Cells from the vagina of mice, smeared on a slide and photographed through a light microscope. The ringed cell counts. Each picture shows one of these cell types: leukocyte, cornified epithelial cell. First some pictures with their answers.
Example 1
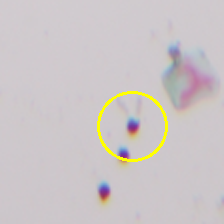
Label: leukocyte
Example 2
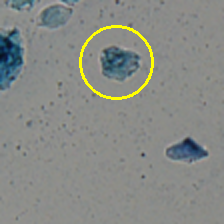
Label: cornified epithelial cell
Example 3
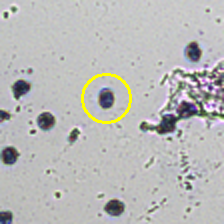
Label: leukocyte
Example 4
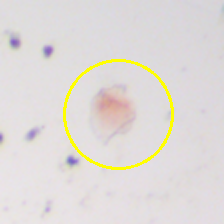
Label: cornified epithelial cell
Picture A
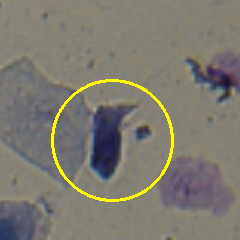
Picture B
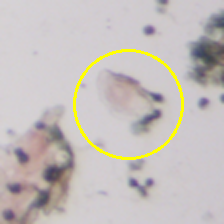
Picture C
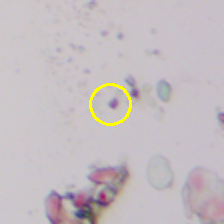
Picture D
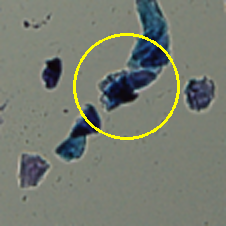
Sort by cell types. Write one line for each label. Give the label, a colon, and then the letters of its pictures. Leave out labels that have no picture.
leukocyte: C
cornified epithelial cell: A, B, D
